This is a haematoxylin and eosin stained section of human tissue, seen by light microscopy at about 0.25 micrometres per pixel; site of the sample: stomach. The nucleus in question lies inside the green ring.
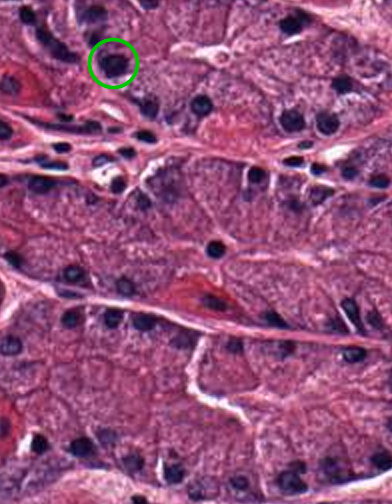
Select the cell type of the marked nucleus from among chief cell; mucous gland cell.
chief cell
